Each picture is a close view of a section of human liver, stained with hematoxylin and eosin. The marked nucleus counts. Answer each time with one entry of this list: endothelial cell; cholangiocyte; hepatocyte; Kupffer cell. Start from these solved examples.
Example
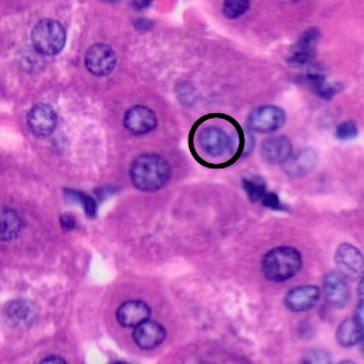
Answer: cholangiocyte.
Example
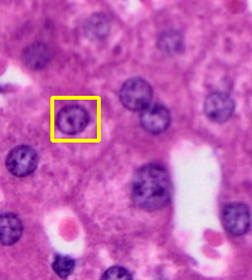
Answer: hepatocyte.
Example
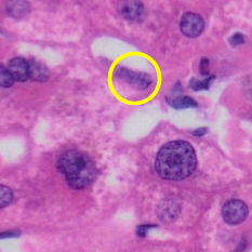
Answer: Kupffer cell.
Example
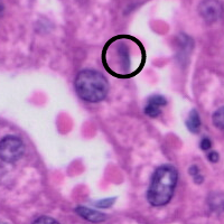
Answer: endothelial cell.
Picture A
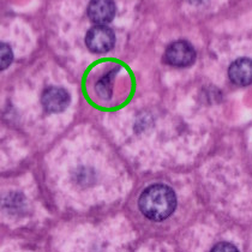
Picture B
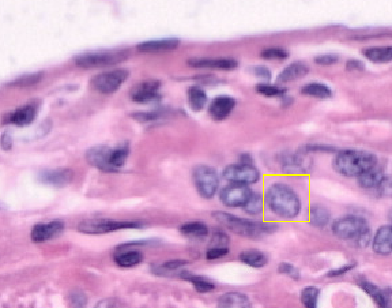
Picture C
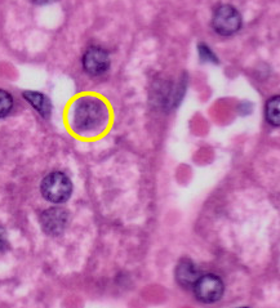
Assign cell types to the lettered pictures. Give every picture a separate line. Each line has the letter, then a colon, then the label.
A: endothelial cell.
B: cholangiocyte.
C: hepatocyte.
